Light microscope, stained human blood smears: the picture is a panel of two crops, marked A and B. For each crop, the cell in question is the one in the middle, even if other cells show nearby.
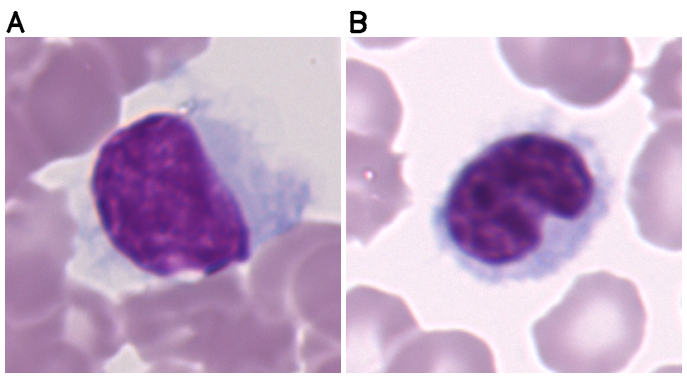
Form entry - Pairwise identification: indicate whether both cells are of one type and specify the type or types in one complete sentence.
Yes, both crops have hairy cells at the centre.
